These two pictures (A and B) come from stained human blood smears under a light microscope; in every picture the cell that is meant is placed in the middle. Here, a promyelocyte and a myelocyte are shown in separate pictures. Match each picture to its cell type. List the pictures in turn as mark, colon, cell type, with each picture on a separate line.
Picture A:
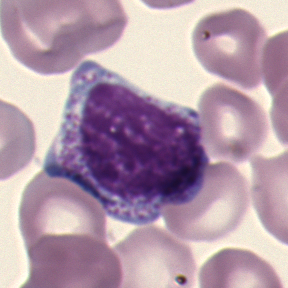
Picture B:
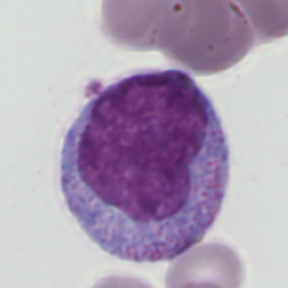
A: myelocyte
B: promyelocyte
